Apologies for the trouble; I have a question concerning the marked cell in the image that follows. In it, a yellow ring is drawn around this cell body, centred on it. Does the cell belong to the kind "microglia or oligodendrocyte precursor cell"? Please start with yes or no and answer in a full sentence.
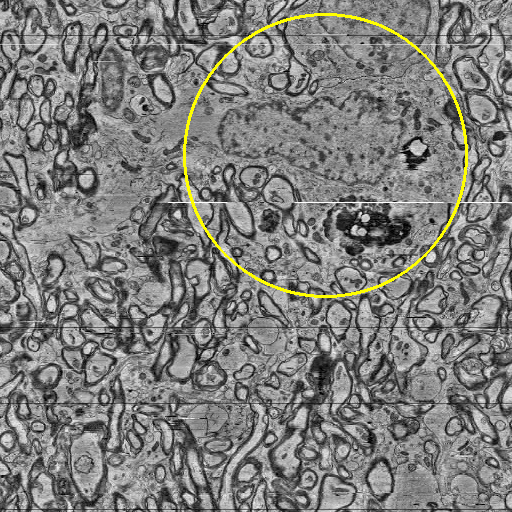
No, the ringed cell in the picture is of a different kind.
